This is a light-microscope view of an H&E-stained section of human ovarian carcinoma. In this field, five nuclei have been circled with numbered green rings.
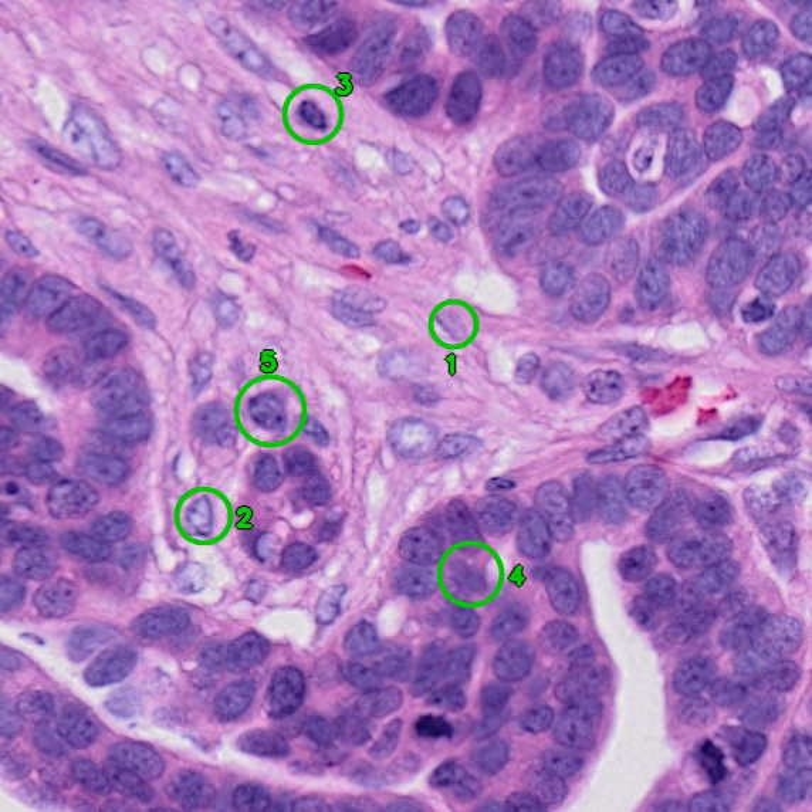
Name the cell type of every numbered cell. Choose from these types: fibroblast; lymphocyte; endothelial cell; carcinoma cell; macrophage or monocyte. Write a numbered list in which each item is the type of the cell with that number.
1. fibroblast
2. fibroblast
3. lymphocyte
4. carcinoma cell
5. macrophage or monocyte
